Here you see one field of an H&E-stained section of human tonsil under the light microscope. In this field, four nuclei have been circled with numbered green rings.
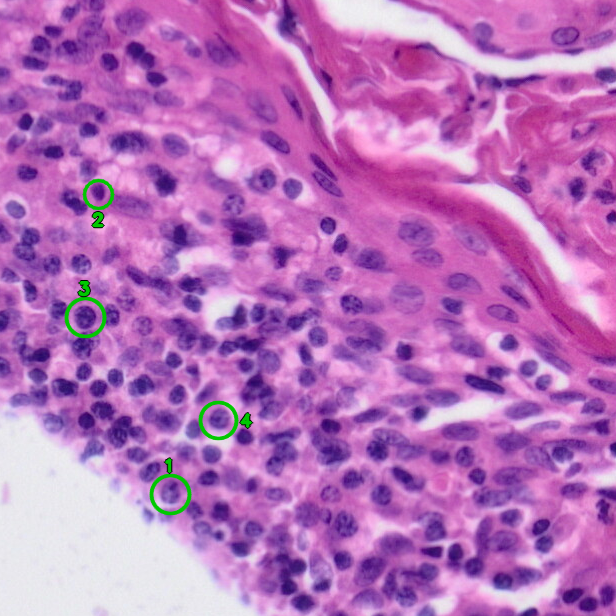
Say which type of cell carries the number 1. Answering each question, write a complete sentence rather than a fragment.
Cell 1, as marked in the section, is a plasma cell.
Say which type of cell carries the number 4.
The cell to which the number 4 is assigned is a plasma cell.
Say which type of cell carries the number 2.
What the number 2 marks in this field is a squamous epithelial cell.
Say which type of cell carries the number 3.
Cell 3, among those numbered, is a plasma cell.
